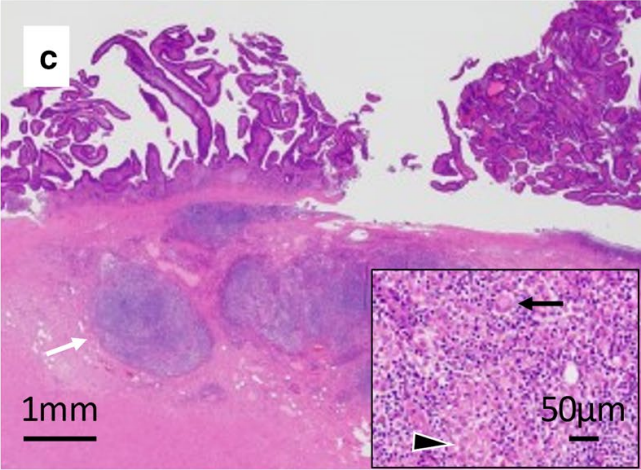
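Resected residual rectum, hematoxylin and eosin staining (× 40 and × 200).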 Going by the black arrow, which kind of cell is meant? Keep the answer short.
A: Multinucleated giant cells.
